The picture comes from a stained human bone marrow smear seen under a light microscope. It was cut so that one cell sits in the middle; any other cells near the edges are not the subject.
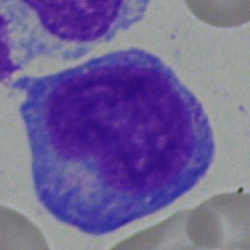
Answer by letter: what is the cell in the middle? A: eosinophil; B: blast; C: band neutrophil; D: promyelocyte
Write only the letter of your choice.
B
